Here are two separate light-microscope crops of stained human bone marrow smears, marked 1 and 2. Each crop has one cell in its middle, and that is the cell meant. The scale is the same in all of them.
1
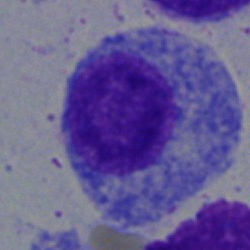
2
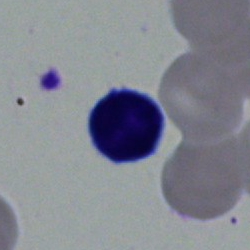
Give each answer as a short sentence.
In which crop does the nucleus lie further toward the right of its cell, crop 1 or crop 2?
In crop 2 the nucleus is shifted more toward the right.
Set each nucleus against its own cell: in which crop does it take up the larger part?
Of the two, the nucleus in crop 2 makes up the greater part of its cell.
